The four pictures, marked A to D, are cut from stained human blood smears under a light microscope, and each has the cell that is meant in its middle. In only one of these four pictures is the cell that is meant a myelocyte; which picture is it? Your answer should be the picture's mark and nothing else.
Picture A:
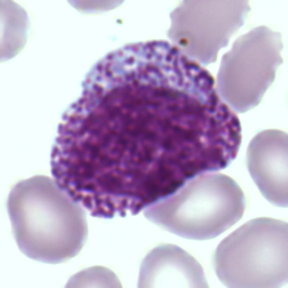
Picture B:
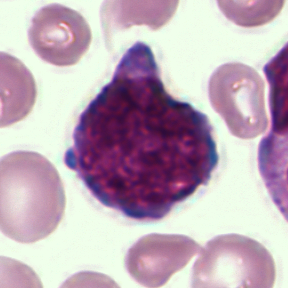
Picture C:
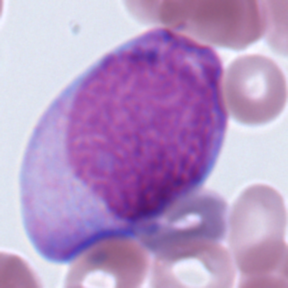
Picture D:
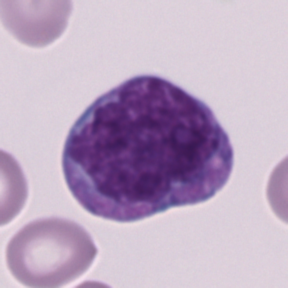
A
